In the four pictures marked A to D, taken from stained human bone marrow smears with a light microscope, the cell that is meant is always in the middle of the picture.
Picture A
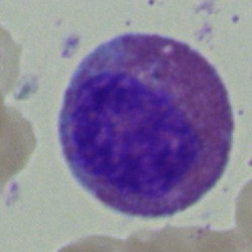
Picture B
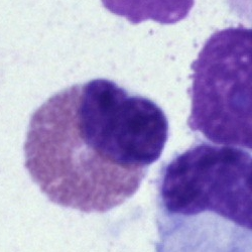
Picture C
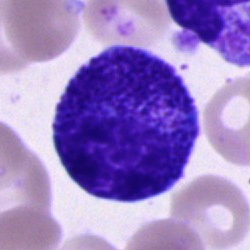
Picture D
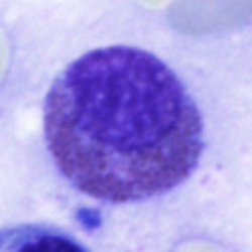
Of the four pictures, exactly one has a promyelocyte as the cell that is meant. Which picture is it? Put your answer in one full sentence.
Picture C shows the promyelocyte.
